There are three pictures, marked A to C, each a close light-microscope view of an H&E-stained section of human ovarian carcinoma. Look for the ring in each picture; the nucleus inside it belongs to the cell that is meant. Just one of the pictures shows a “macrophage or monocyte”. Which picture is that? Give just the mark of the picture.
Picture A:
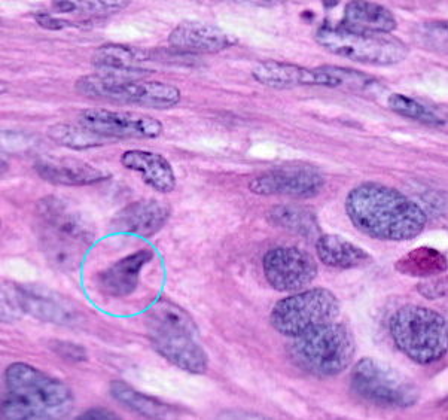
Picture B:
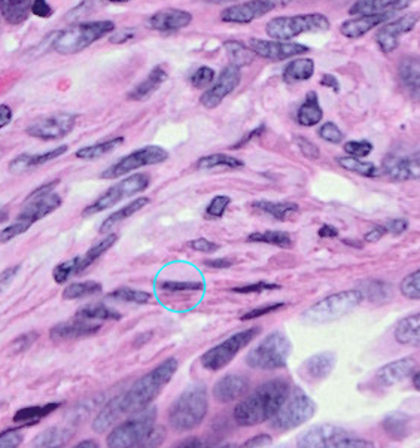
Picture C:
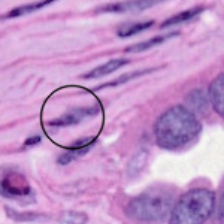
A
